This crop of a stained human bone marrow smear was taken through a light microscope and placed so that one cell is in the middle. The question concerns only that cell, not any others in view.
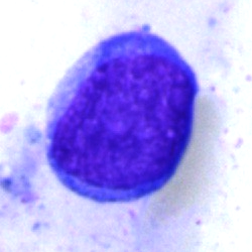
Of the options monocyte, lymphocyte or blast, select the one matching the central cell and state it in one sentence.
The cell that lies at the centre of the crop is a blast.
